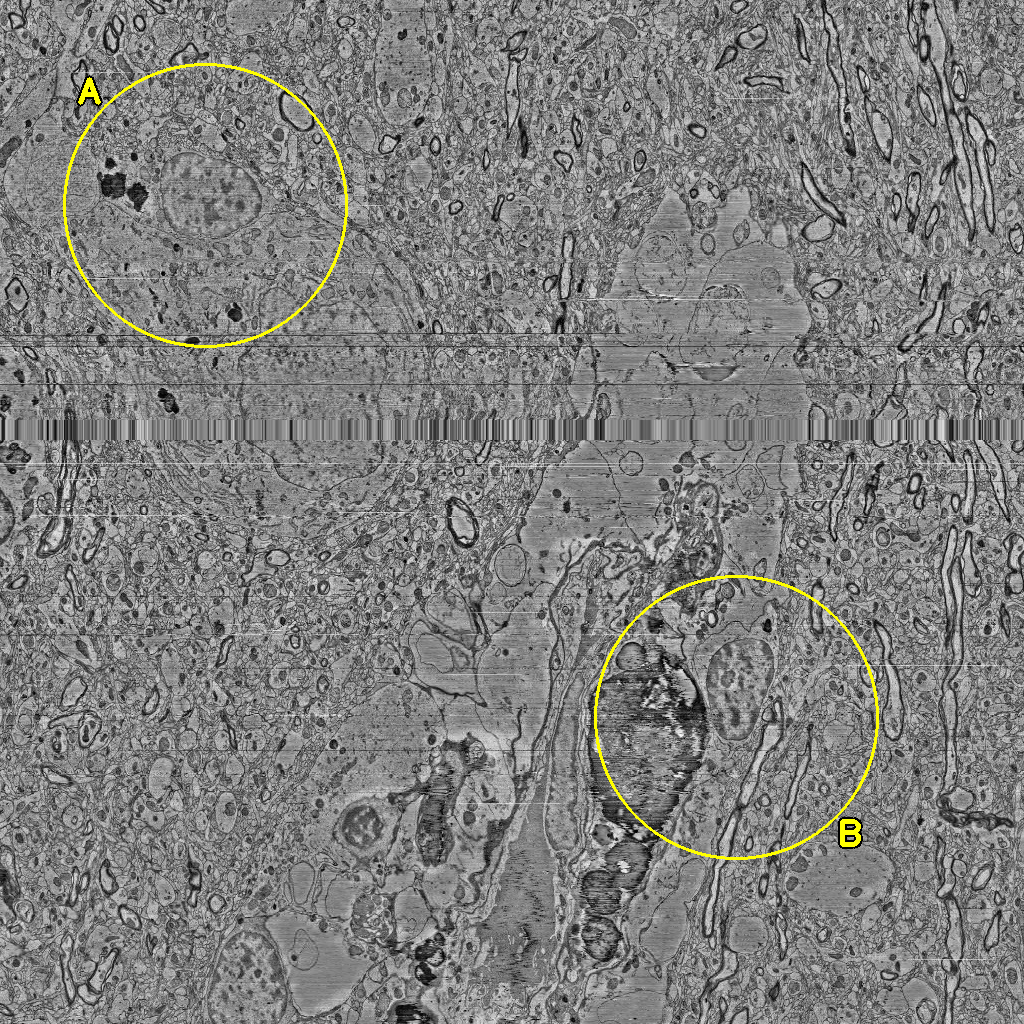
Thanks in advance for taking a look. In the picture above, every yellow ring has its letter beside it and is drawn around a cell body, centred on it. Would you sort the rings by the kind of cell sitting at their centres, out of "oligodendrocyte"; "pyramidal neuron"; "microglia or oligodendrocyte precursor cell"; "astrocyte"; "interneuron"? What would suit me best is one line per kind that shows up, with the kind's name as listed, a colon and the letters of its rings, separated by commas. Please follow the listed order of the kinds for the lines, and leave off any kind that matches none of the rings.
oligodendrocyte: A
microglia or oligodendrocyte precursor cell: B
